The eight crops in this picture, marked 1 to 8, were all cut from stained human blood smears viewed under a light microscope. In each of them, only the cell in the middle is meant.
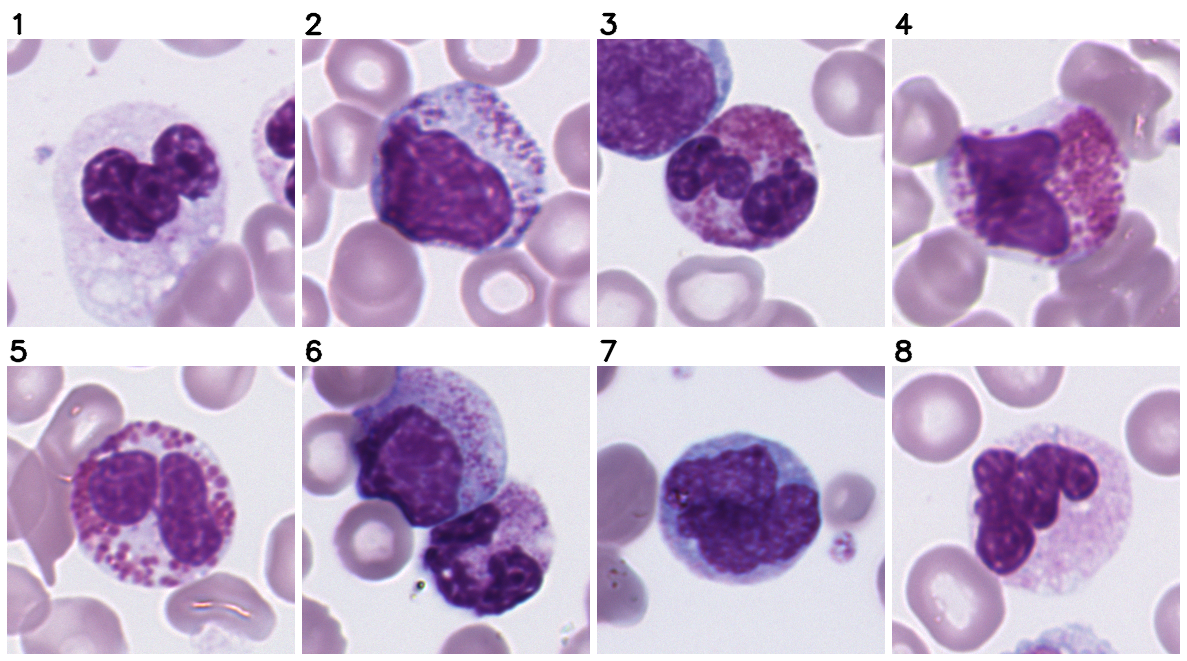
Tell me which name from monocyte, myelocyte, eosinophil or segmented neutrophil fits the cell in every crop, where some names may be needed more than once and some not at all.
1: segmented neutrophil
2: myelocyte
3: eosinophil
4: eosinophil
5: eosinophil
6: myelocyte
7: monocyte
8: segmented neutrophil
